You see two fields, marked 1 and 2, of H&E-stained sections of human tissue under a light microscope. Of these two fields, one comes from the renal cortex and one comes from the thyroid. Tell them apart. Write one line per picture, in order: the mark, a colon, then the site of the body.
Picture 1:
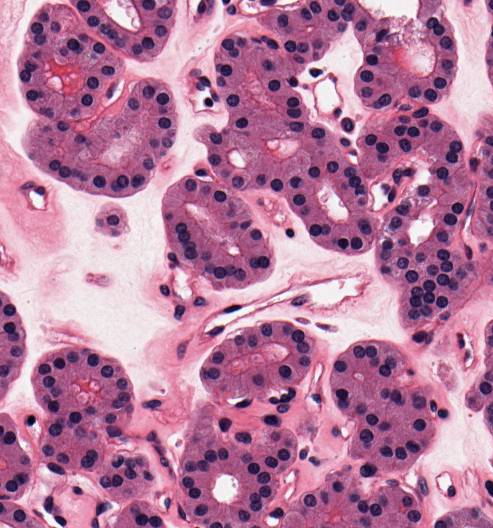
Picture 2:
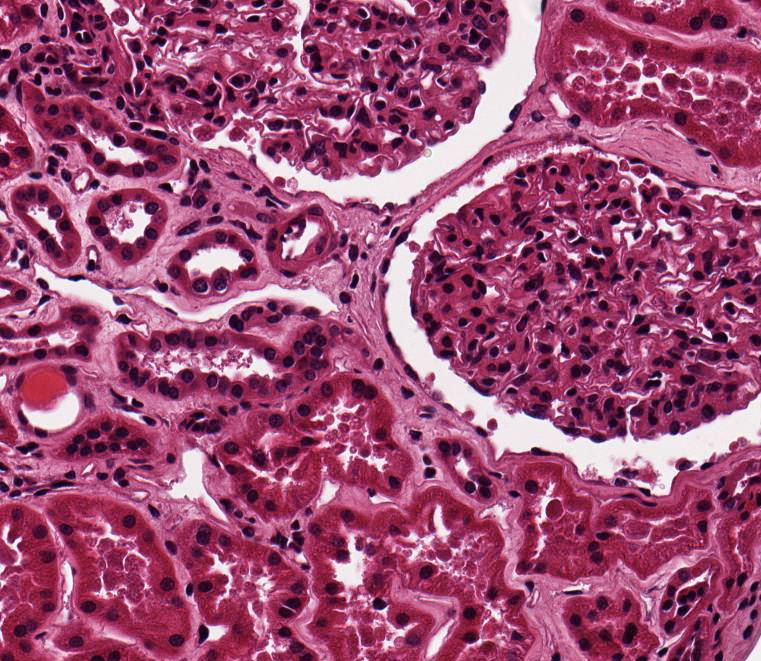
1: thyroid
2: renal cortex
